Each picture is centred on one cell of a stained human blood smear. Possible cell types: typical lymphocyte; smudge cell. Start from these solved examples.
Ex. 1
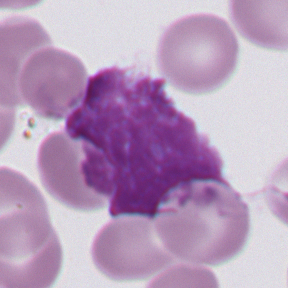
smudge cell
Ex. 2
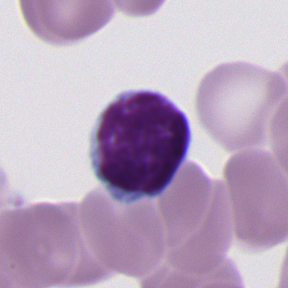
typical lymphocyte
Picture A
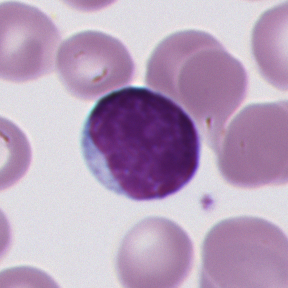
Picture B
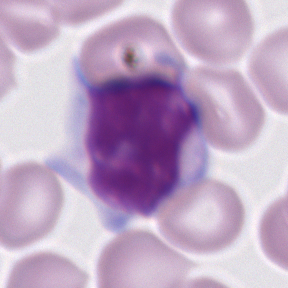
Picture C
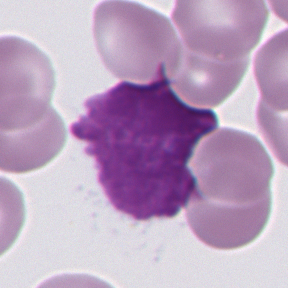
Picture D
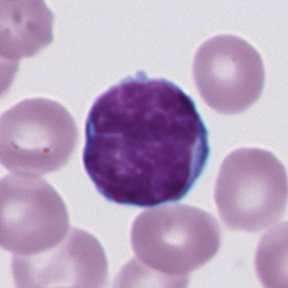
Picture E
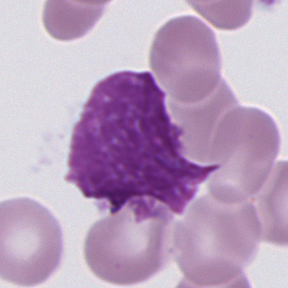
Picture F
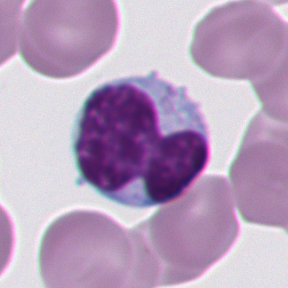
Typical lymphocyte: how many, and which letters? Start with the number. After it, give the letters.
4, namely A, B, D, F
